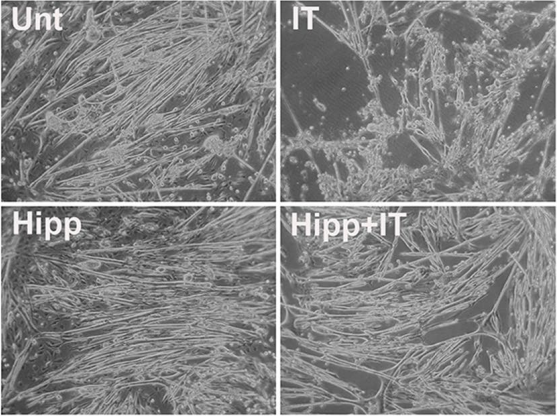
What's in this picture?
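These phase-contrast images show cultures of myotubes, long, slender, bright-edged fibres that lie side by side in dense, roughly parallel sweeps across the dish. Between and over them lie small rounded cells. In three of the four fields the fibres are numerous, long and closely packed. In the upper right field the fibres are sparser, shorter and thinner, many appear broken up, rounded cells are more conspicuous, and large areas of empty grey substrate show between the remaining fibres.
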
